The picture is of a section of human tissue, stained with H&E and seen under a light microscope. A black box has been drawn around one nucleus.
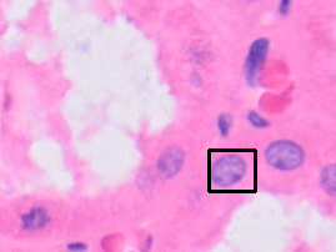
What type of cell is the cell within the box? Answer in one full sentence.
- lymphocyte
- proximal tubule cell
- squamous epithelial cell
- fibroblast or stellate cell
Within the stained tissue, the cell within the box is a proximal tubule cell.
